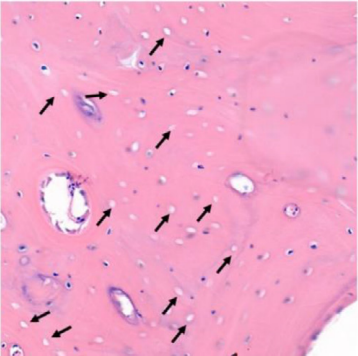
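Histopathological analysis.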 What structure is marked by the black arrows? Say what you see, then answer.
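Many small clear spaces in the pink bone matrix. The marked spaces lack a stained nucleus. The answer: empty lacunae.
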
